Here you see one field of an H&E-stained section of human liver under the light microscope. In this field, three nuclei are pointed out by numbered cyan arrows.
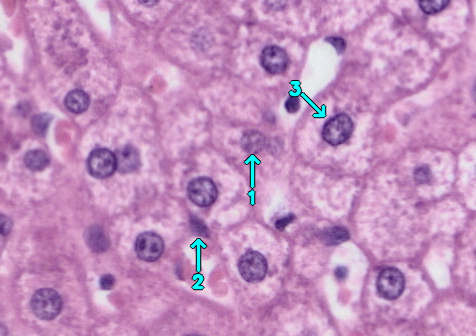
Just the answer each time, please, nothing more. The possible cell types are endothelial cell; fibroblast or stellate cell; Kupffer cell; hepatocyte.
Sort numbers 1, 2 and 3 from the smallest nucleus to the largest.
2, 1, 3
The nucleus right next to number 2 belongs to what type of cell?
hepatocyte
